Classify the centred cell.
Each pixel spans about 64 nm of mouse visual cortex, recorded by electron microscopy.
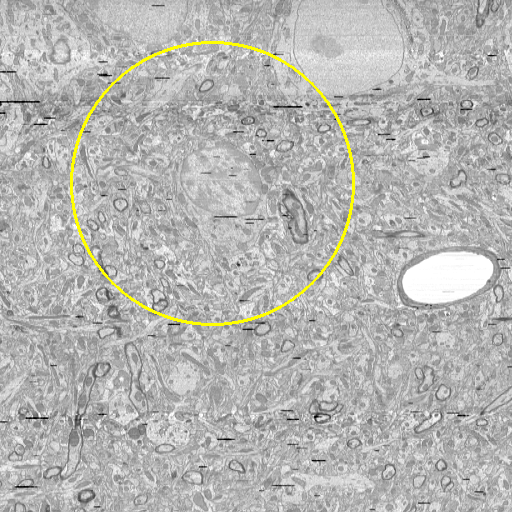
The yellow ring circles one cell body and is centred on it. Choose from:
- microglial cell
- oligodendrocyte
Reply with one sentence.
The ring is centred on an oligodendrocyte.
